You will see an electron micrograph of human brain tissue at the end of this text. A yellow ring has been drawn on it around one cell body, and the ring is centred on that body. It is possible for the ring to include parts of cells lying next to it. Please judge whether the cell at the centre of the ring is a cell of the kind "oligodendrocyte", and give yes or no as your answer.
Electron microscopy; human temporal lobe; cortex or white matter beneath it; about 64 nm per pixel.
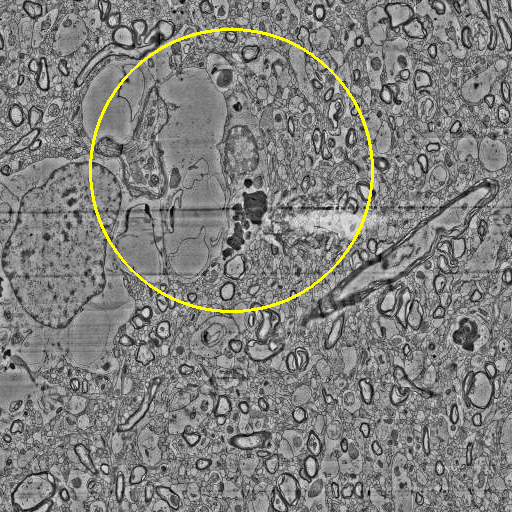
yes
